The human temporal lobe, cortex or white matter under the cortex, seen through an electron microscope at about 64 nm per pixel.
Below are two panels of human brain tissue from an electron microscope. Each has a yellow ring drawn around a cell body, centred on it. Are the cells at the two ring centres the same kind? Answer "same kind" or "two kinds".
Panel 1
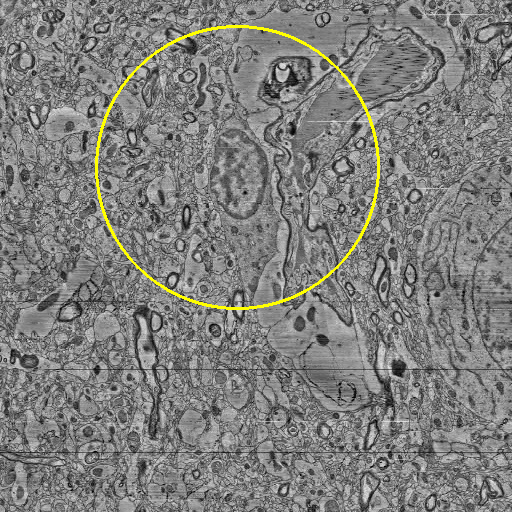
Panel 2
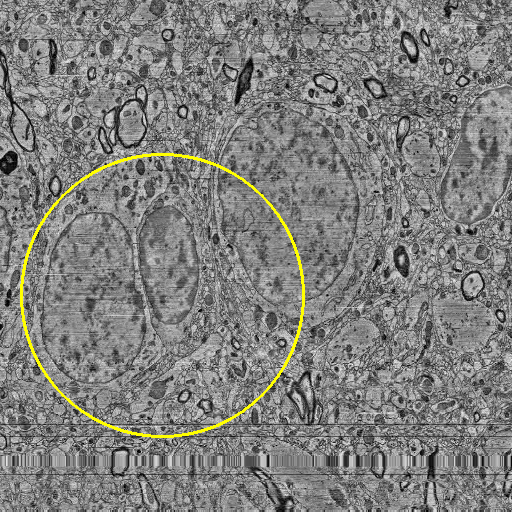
same kind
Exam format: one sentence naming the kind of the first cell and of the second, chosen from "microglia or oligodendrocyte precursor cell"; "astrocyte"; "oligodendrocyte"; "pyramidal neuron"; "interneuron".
Each of the two rings surrounds an oligodendrocyte.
